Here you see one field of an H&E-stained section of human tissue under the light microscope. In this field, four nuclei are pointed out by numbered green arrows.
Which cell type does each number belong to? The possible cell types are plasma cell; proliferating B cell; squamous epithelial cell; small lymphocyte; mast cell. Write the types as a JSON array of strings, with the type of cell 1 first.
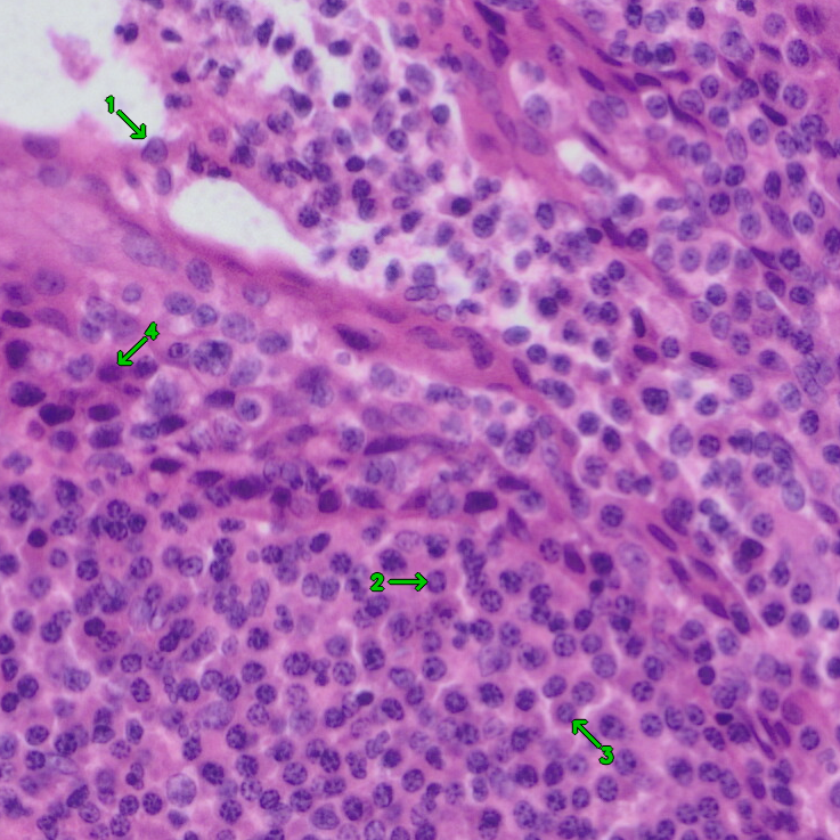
["squamous epithelial cell", "plasma cell", "plasma cell", "squamous epithelial cell"]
